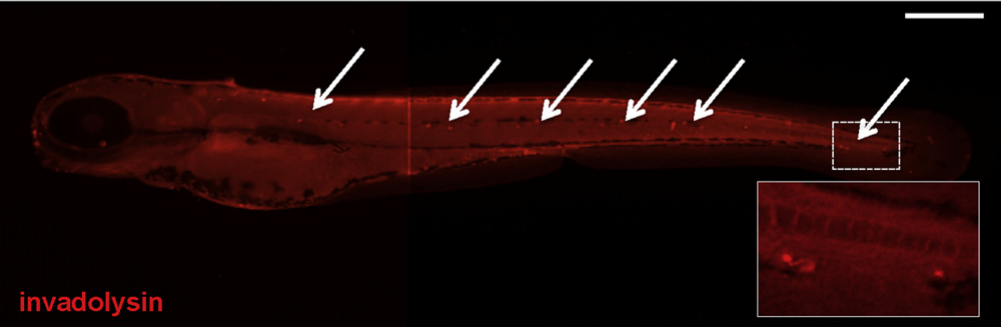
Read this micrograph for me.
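The spots lie spaced at intervals in a line along the flank of the trunk and tail, at the body surface. In the enlarged inset two such compact clusters stand out against the fainter, regularly banded trunk musculature. Elsewhere the body shows a dim red background, with brighter lines along the body outline. Single cells cannot be told apart at this magnification.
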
